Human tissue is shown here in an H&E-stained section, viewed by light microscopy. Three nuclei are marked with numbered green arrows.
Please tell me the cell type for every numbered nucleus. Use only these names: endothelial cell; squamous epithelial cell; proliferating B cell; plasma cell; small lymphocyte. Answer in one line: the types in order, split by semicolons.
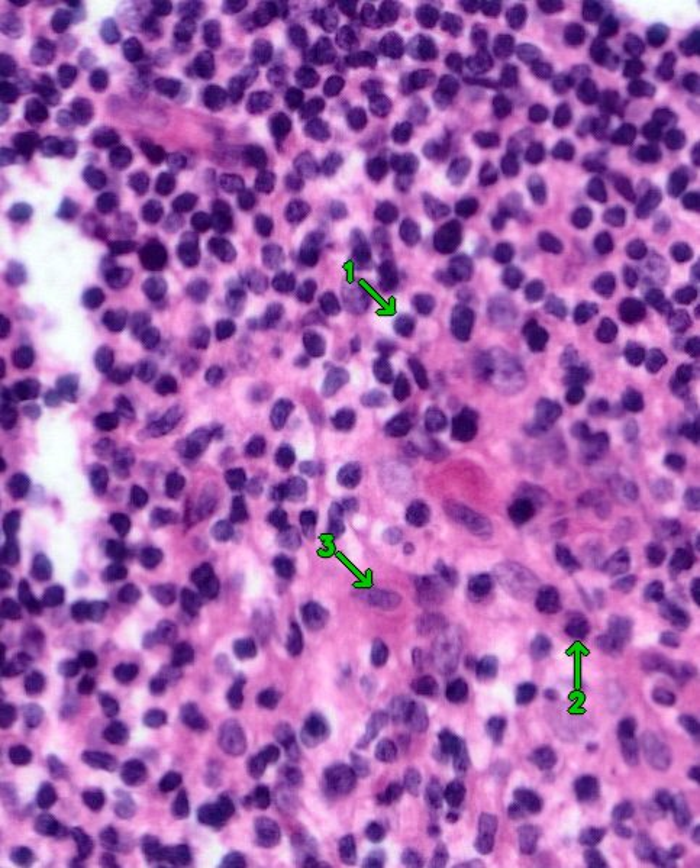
small lymphocyte; plasma cell; endothelial cell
